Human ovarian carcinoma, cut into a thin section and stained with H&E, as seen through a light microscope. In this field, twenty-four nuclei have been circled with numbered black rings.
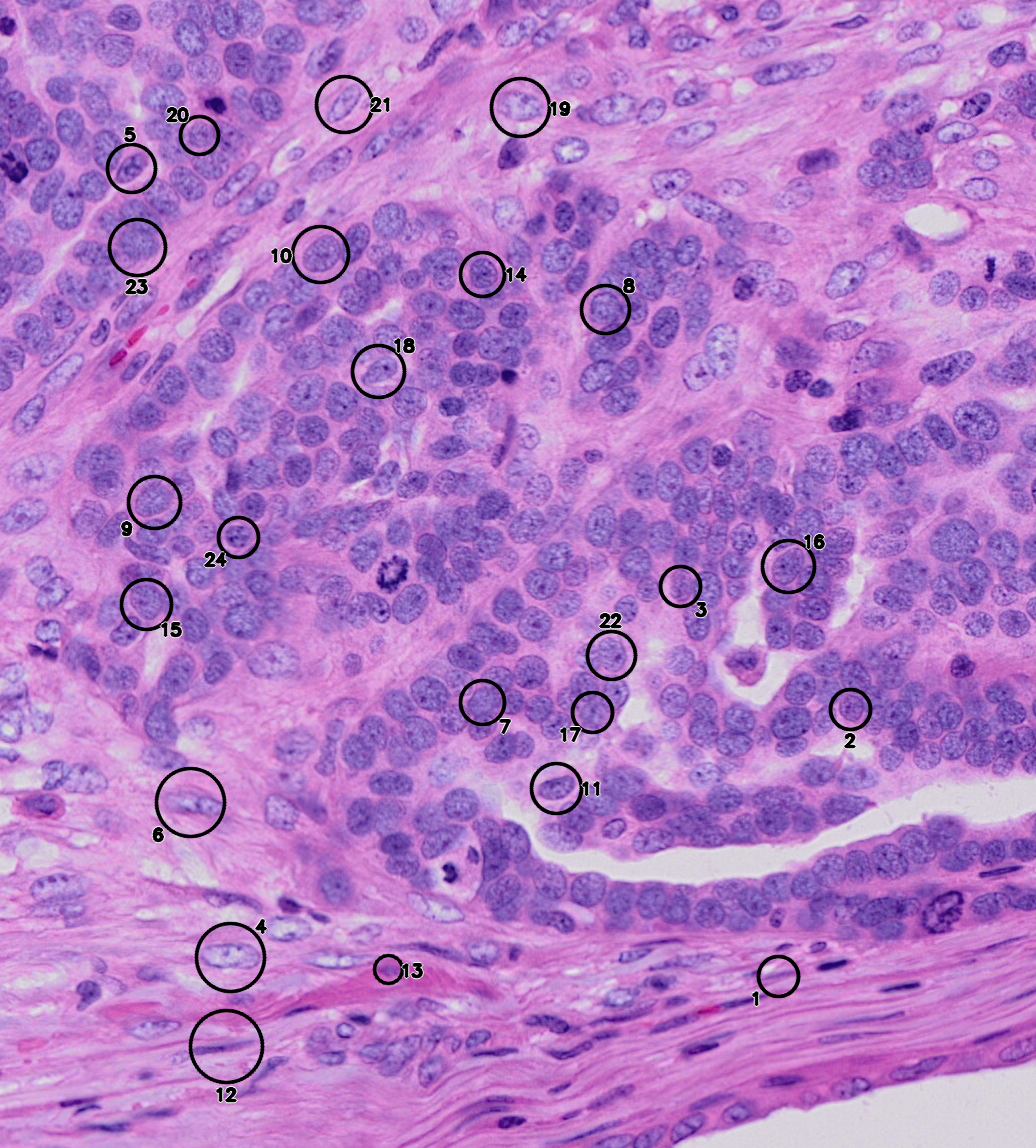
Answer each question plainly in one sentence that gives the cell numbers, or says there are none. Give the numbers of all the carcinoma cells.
The cells that bear the numbers 2, 3, 7, 8, 9, 10, 14, 15, 16, 17, 20, 22 and 23 are carcinoma cells.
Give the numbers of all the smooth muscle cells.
Mind that only cell 13 is a smooth muscle cell, none of the rest.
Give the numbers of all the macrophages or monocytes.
The cells given the numbers 5, 11, 18 and 24 are macrophages or monocytes.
